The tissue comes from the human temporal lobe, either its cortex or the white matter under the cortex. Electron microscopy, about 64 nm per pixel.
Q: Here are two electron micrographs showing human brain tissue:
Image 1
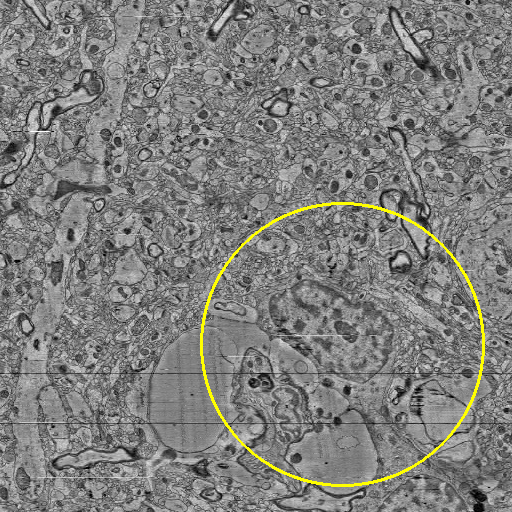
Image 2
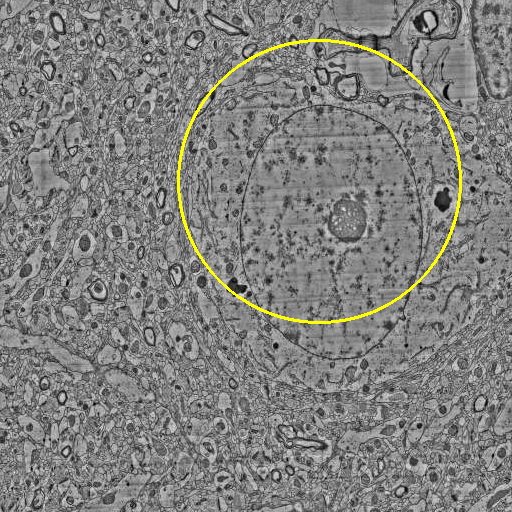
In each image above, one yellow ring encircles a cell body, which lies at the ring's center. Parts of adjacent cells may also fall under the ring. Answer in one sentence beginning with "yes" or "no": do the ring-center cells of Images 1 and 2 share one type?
No, in Images 1 and 2, the ring-center cells are of two types.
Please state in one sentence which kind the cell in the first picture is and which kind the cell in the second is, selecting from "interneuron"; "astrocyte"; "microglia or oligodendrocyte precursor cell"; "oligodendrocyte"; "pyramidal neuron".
The first ringed cell is an oligodendrocyte, the second ringed cell a pyramidal neuron.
